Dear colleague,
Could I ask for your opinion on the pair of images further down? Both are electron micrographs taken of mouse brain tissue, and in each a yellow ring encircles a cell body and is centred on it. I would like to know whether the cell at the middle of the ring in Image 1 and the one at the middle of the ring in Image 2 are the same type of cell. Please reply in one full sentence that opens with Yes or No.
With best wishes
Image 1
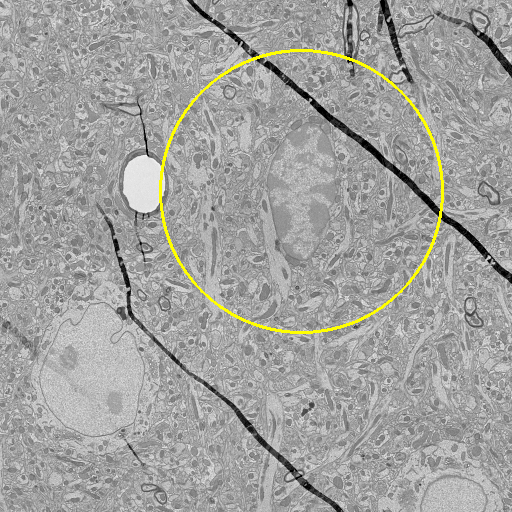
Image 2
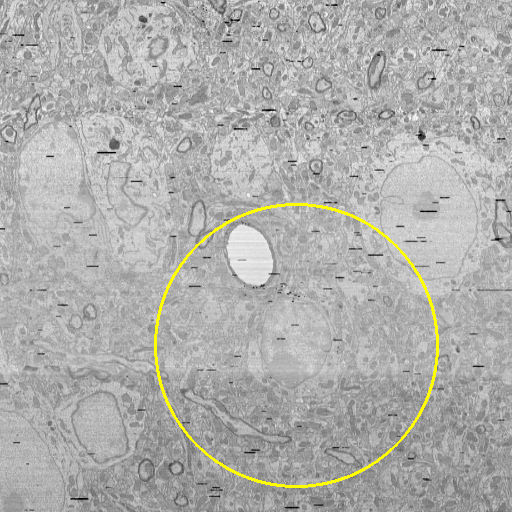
Yes, the cells at the ring centres in Image 1 and Image 2 are of one type.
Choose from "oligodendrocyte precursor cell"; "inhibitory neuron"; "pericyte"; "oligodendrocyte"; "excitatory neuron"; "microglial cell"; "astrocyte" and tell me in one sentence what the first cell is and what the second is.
In both pictures the ring is centred on an oligodendrocyte.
